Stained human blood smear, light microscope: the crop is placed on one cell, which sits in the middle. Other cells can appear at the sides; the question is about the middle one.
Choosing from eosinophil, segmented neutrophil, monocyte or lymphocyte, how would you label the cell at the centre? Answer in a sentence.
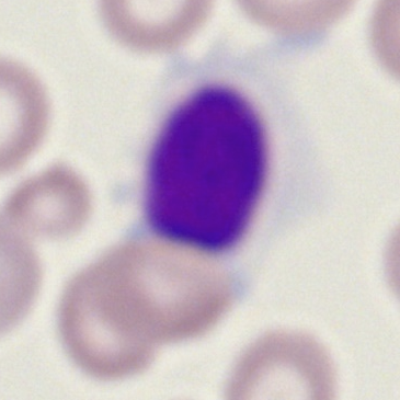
In the middle of this smear crop is a lymphocyte.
